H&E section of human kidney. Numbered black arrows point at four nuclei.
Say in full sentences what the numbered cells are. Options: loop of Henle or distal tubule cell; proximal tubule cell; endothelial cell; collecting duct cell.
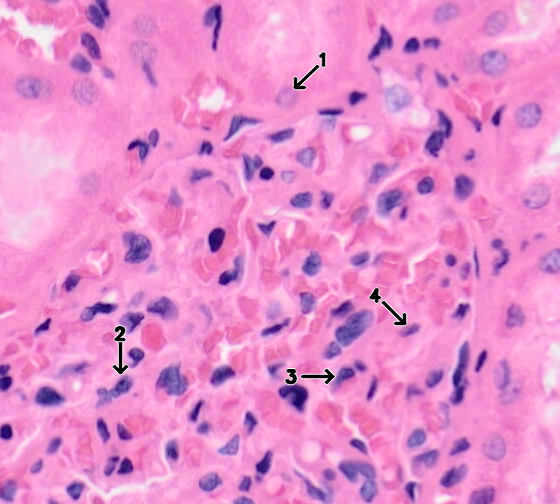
Cell 1 is a proximal tubule cell, cell 2 is an endothelial cell, cell 3 is an endothelial cell and cell 4 is an endothelial cell.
